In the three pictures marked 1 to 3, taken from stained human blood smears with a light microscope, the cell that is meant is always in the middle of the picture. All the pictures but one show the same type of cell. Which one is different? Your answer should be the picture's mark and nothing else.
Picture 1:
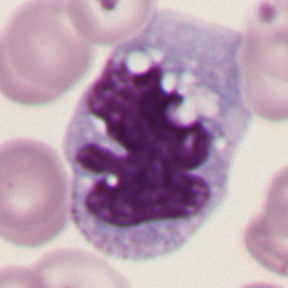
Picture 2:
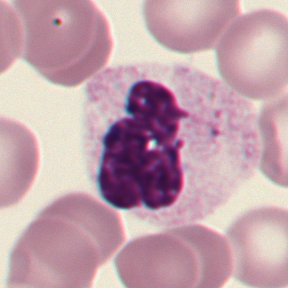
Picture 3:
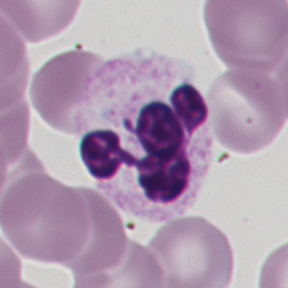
1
